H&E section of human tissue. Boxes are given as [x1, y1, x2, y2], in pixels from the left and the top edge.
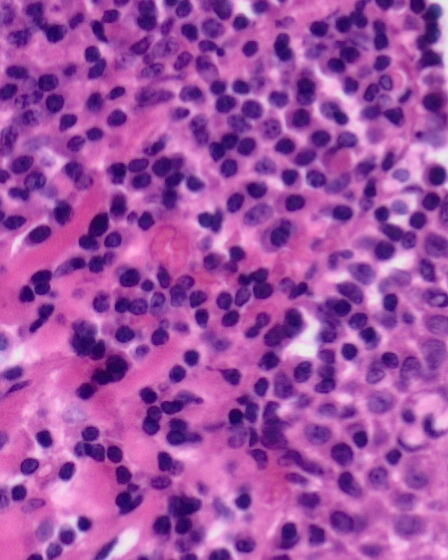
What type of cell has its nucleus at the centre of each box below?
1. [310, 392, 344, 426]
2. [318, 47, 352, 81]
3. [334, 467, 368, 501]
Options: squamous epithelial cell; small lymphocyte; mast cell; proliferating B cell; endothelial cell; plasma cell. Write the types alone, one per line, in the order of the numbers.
squamous epithelial cell
plasma cell
squamous epithelial cell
